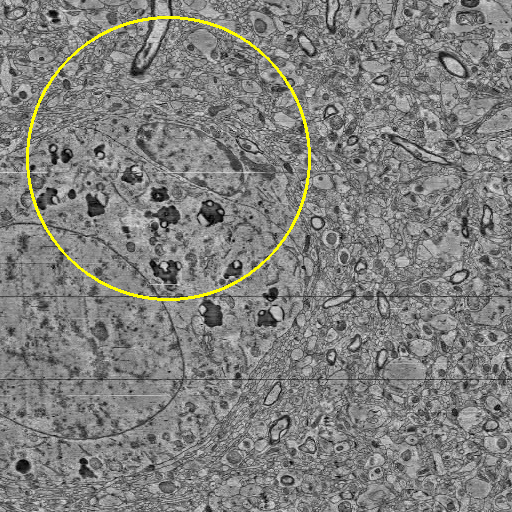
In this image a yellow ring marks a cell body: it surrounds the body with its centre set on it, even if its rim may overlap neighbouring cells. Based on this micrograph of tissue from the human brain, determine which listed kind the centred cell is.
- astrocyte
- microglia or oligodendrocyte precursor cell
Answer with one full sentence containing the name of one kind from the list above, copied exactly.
It is a microglial cell or oligodendrocyte precursor cell whose body the yellow ring encloses at its centre.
